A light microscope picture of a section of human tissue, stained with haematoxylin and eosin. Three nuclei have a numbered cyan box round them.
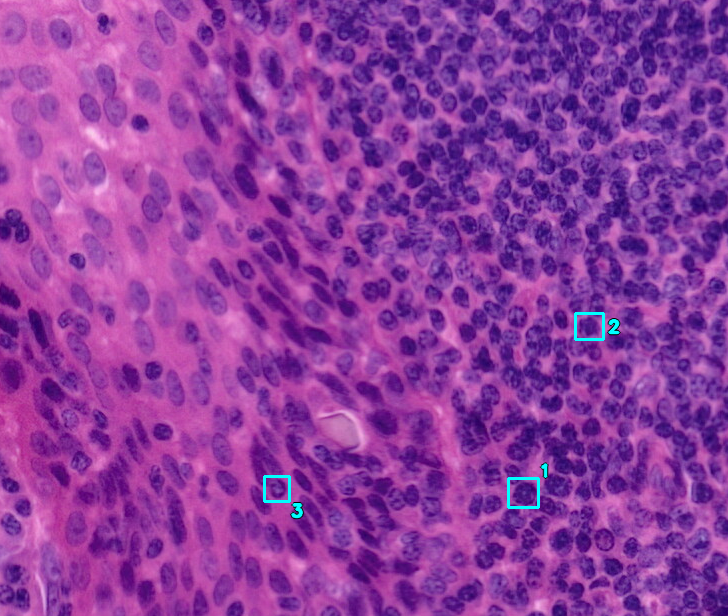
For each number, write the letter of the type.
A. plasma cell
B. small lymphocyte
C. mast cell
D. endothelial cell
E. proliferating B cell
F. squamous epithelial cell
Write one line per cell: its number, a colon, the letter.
1: A
2: B
3: A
